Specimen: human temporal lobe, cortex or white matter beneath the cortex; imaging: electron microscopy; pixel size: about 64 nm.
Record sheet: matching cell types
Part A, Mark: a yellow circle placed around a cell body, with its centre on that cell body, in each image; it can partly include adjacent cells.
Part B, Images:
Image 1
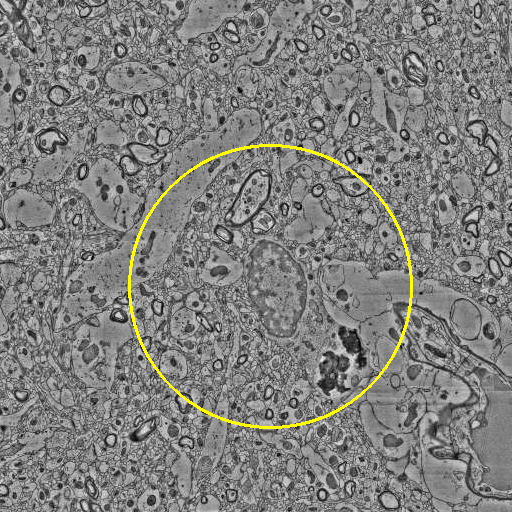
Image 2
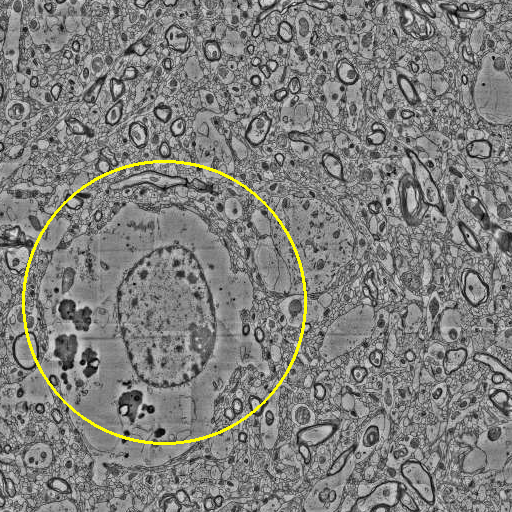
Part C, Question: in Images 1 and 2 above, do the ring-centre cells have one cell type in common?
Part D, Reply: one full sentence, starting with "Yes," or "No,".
No, the ring-centre cells of Image 1 and Image 2 are each of a separate cell type.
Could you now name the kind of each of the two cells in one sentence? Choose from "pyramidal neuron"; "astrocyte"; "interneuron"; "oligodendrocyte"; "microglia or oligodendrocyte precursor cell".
The first ring encloses an oligodendrocyte; the second ring encloses an astrocyte.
